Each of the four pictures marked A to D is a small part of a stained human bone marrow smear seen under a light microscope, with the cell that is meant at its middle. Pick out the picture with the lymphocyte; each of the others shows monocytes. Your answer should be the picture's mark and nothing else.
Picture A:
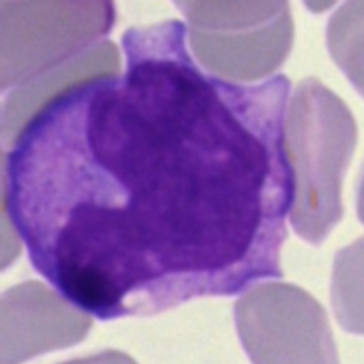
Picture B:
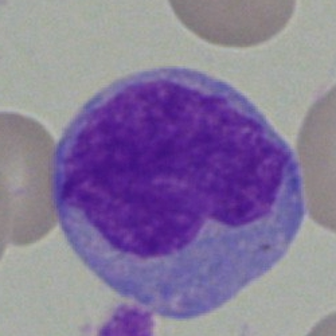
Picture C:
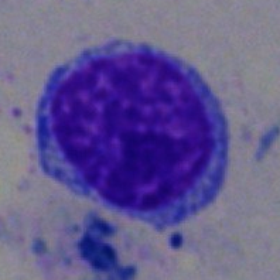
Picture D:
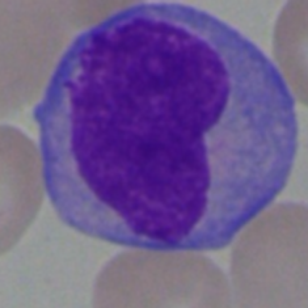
C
